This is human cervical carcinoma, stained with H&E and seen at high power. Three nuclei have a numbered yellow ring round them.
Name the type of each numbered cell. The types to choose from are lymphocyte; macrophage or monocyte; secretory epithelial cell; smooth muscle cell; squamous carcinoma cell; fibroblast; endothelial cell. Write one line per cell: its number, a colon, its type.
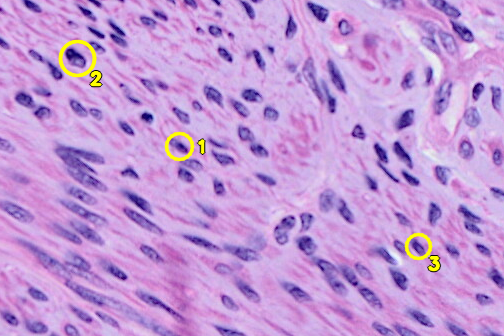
1: smooth muscle cell
2: lymphocyte
3: smooth muscle cell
